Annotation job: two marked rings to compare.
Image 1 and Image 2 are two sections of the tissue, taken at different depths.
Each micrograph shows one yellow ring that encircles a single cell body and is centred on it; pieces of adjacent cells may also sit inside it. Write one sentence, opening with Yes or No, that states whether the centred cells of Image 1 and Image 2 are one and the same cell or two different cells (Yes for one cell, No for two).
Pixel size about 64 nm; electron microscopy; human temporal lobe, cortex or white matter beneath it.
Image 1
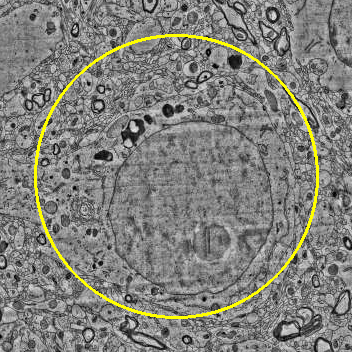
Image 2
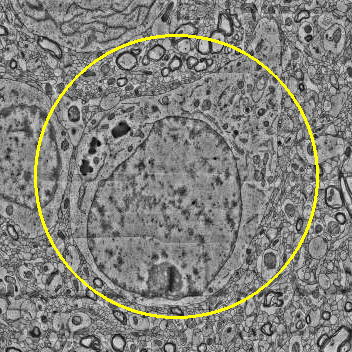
No, the two marked cells are different cells.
